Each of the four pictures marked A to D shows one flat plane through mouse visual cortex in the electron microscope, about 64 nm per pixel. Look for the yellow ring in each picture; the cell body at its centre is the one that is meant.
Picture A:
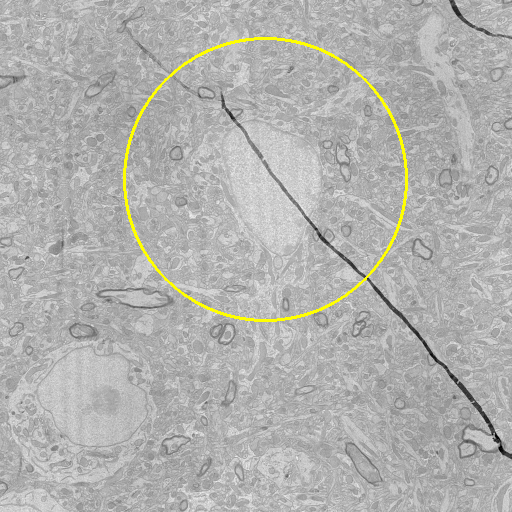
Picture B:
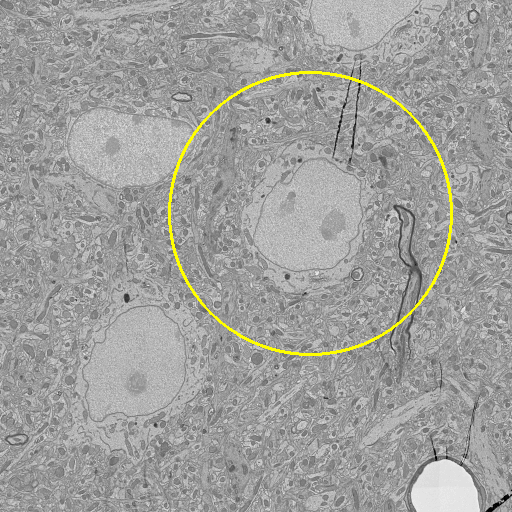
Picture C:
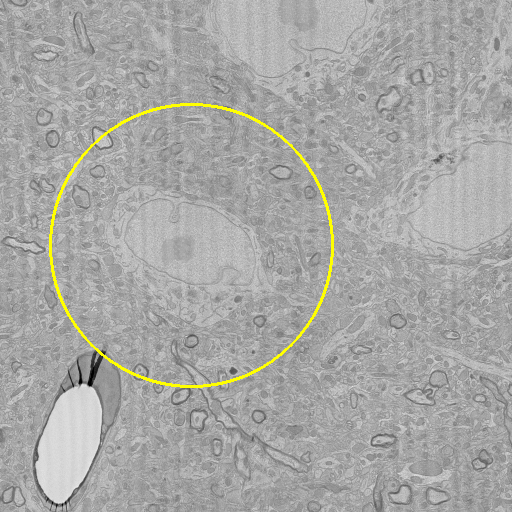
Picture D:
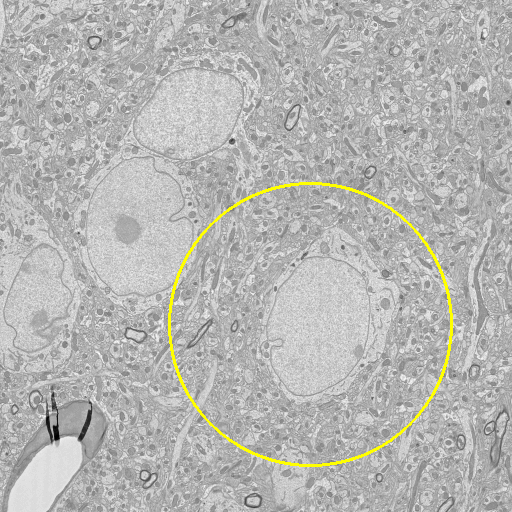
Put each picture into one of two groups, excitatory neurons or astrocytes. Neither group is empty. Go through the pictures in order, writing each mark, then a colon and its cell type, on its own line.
A: astrocyte
B: excitatory neuron
C: excitatory neuron
D: excitatory neuron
